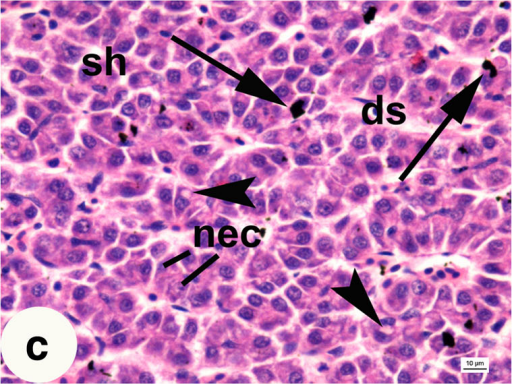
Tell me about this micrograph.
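This is liver tissue with closely packed hepatocytes whose cytoplasm stains a deeper, more uniform pink. The hepatocytes are polygonal with round, centrally placed nuclei and visible nucleoli, and some show small clear spaces in the cytoplasm. Small cells with dense black-brown granular pigment, the Kupffer cells, lie scattered between the cords along the sinusoids. Several sinusoids appear as widened white clefts between the cords. Some cells have shrunken, darkly staining nuclei.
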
